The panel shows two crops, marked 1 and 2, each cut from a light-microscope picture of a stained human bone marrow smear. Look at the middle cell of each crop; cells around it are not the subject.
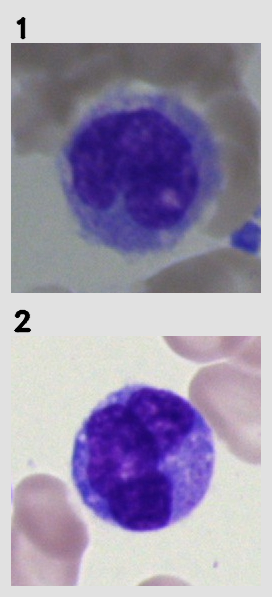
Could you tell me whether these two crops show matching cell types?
yes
